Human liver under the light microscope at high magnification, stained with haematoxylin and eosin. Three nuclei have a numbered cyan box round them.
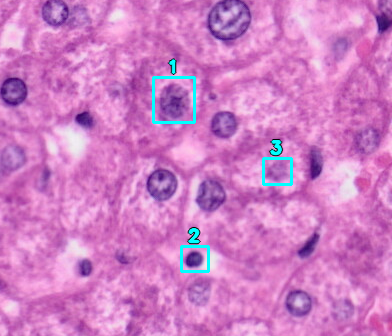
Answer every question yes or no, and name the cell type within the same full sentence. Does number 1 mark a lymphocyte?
No, cell 1 should be read as a hepatocyte instead of a lymphocyte.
